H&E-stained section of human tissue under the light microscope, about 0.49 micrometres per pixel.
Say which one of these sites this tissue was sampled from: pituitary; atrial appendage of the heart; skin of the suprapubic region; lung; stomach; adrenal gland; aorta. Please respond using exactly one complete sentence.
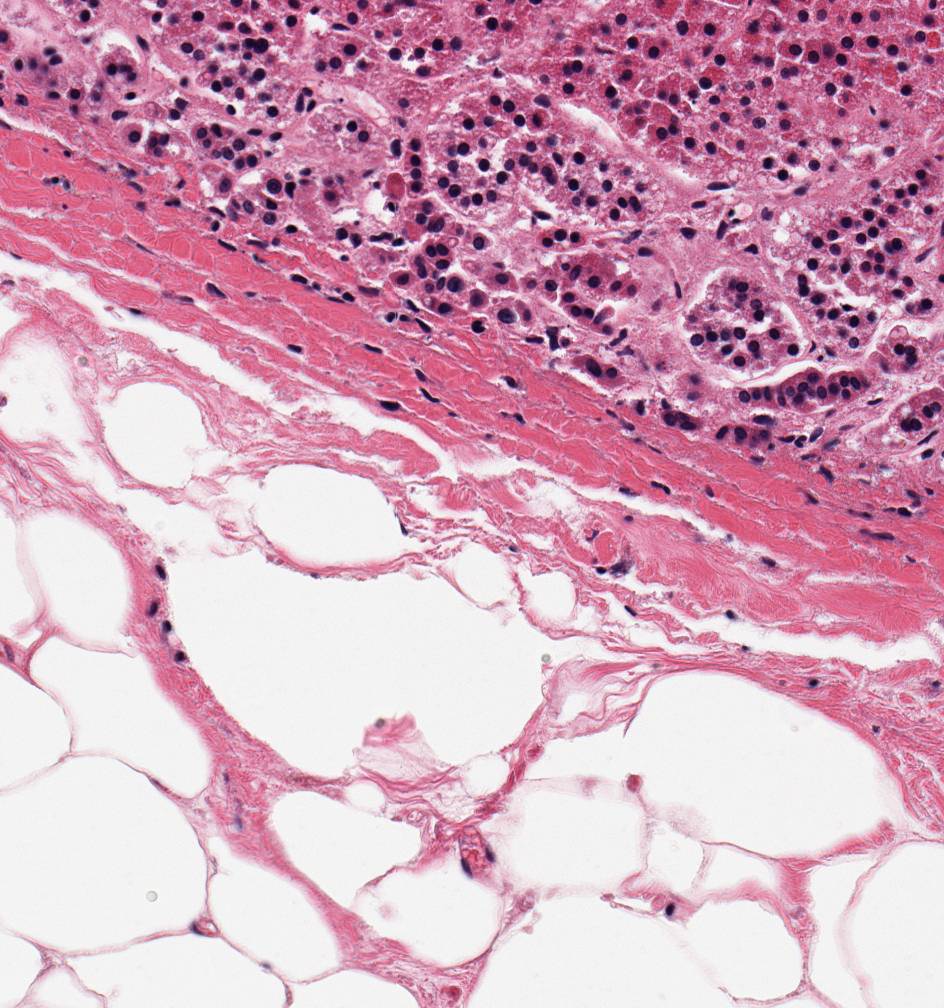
The tissue fragment was taken from the adrenal gland.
